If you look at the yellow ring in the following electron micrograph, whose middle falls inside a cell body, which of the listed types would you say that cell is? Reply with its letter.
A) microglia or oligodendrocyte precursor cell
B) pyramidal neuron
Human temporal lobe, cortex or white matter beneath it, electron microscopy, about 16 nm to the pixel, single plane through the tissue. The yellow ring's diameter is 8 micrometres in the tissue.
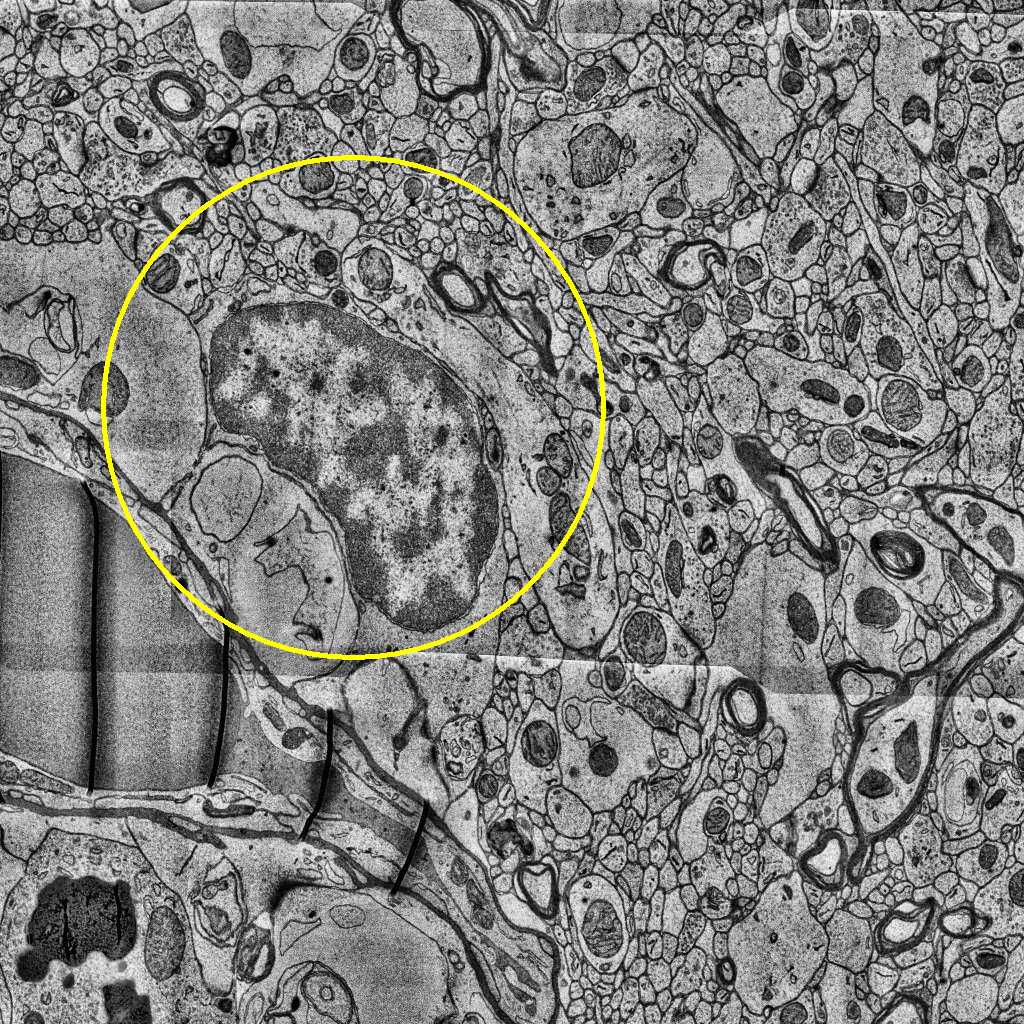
A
